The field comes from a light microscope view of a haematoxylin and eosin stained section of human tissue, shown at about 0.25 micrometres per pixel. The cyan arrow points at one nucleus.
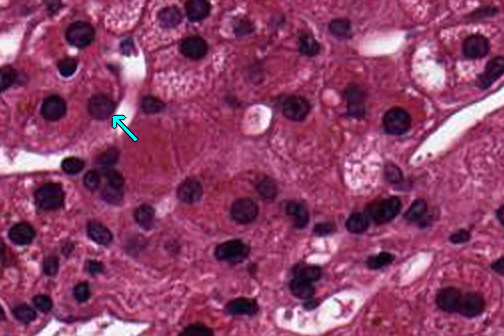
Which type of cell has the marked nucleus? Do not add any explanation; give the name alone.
adrenal cortical cell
